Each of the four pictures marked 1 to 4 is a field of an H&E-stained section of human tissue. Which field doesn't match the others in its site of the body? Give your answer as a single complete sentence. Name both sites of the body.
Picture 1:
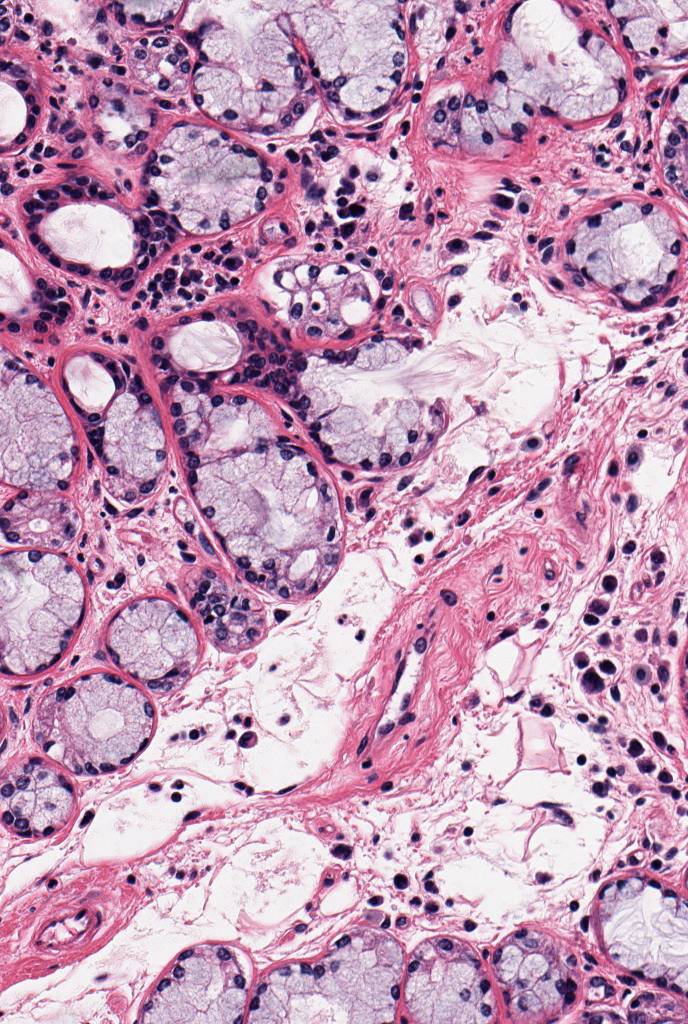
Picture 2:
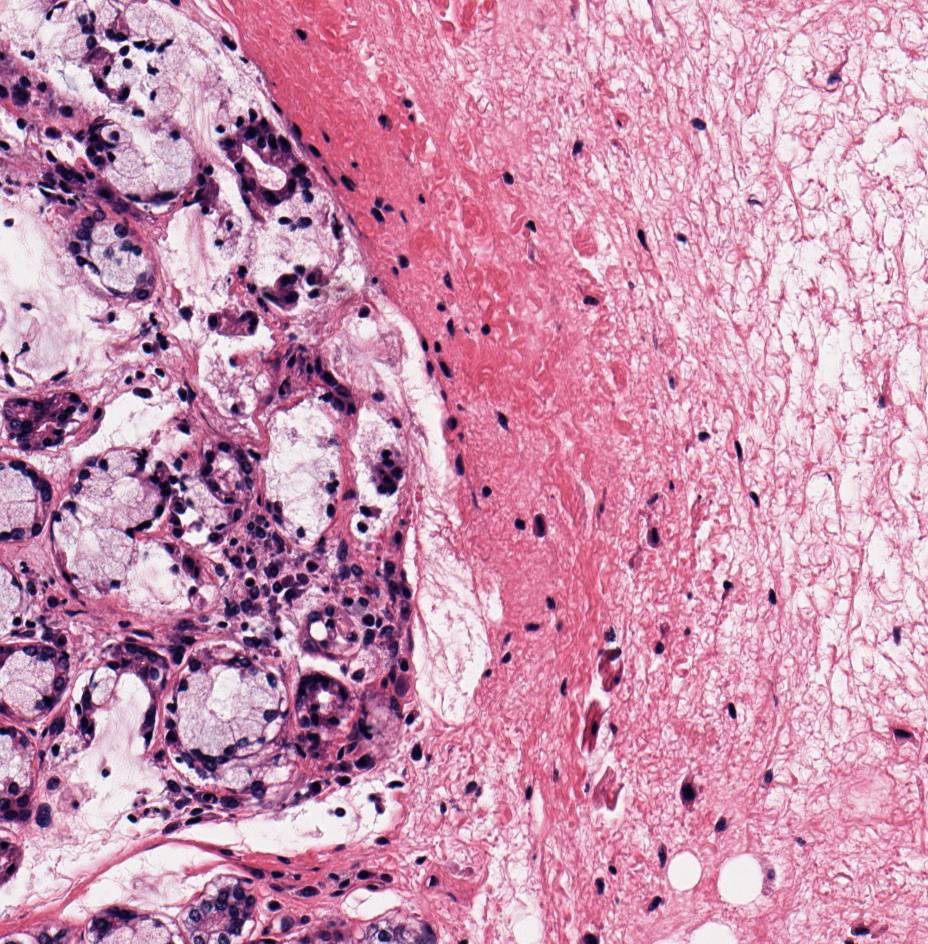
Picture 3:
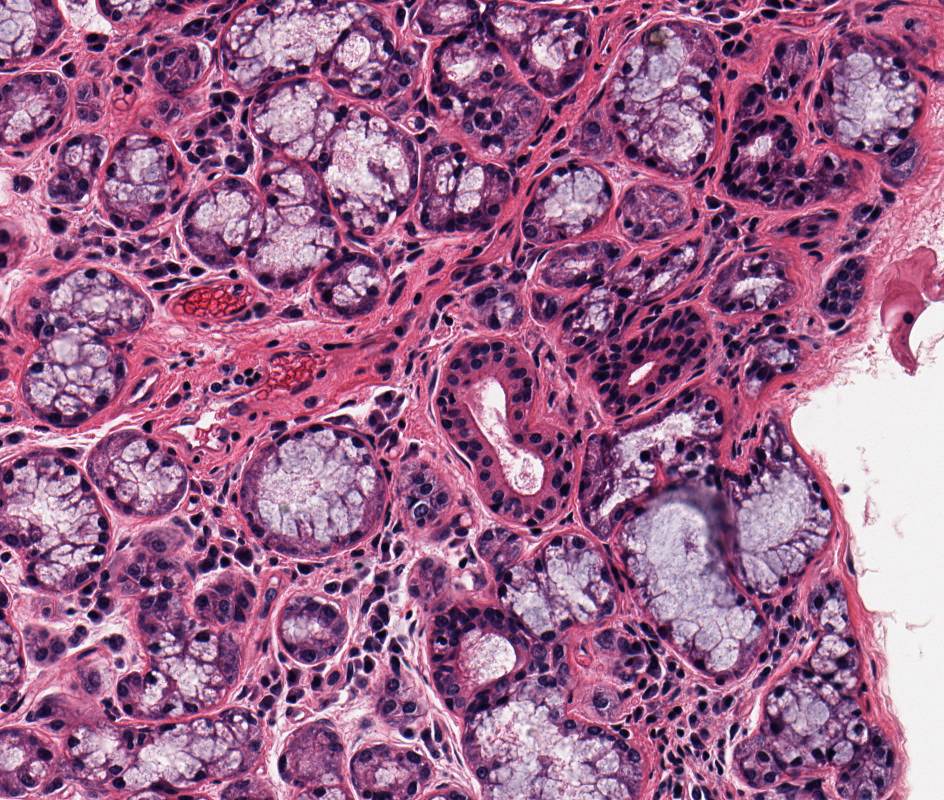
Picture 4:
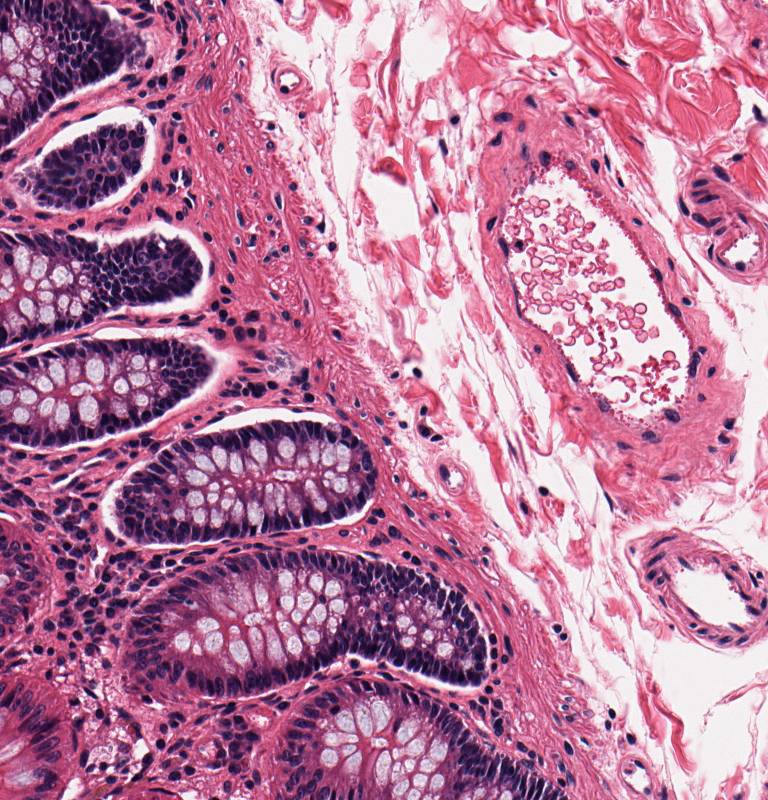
Unlike the rest, which come from a minor salivary gland, picture 4 comes from the transverse colon.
